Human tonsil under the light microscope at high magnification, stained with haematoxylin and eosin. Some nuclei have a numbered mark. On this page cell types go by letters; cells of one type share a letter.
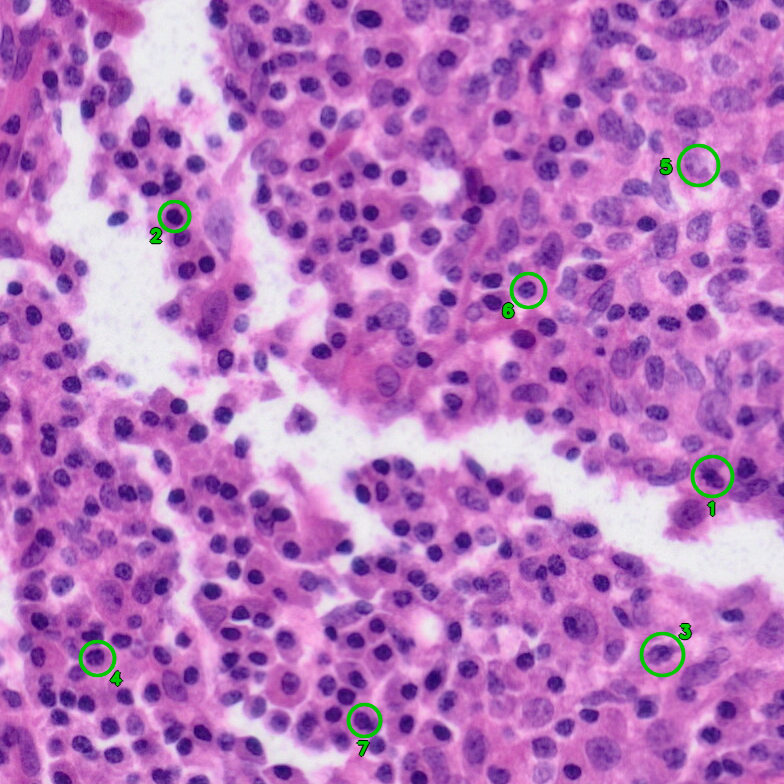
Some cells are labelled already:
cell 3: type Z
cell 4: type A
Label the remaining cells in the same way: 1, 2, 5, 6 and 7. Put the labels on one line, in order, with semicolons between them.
type Z; type A; type Z; type A; type A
